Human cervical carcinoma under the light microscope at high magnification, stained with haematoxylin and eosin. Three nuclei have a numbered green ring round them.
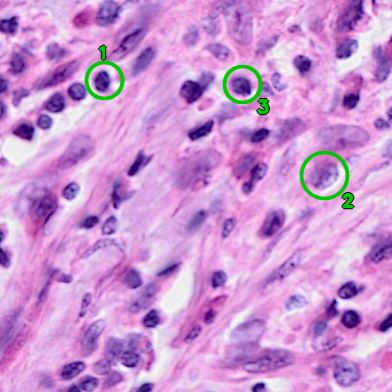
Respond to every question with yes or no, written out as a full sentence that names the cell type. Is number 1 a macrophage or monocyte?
No, number 1 marks a lymphocyte rather than a macrophage or monocyte.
